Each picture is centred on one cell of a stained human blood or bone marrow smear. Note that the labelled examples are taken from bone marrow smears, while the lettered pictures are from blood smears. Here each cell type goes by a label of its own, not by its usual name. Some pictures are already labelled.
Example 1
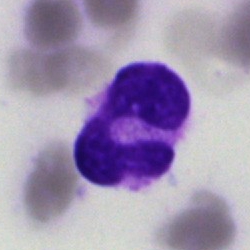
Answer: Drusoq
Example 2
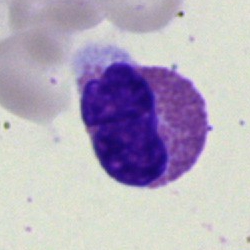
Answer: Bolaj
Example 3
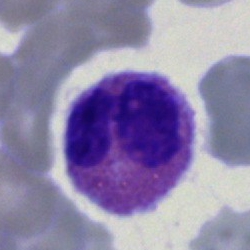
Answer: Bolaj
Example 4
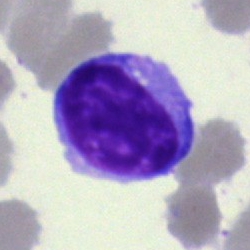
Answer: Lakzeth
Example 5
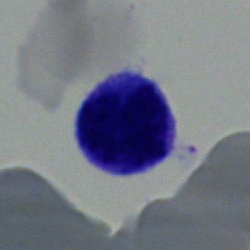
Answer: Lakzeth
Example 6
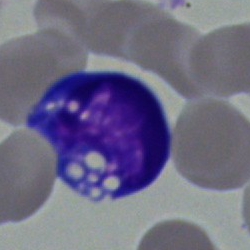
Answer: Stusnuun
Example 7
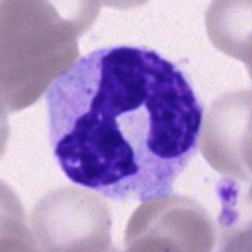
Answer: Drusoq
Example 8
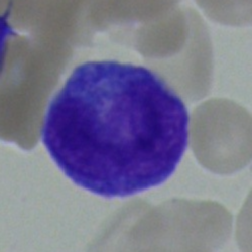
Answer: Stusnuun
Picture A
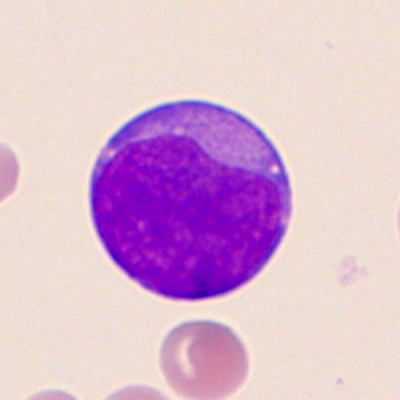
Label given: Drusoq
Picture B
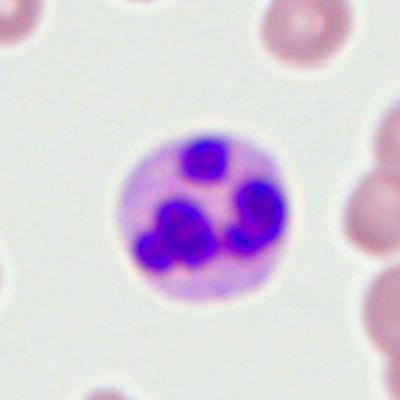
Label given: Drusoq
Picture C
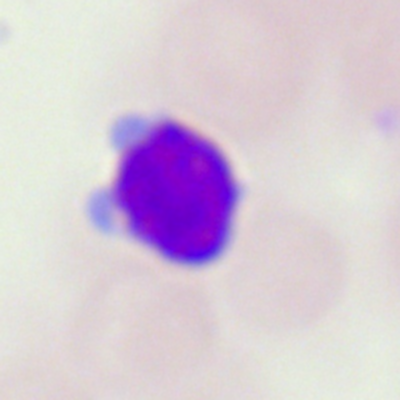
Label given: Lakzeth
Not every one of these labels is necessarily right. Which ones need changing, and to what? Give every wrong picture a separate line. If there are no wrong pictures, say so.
A: change Drusoq to Stusnuun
